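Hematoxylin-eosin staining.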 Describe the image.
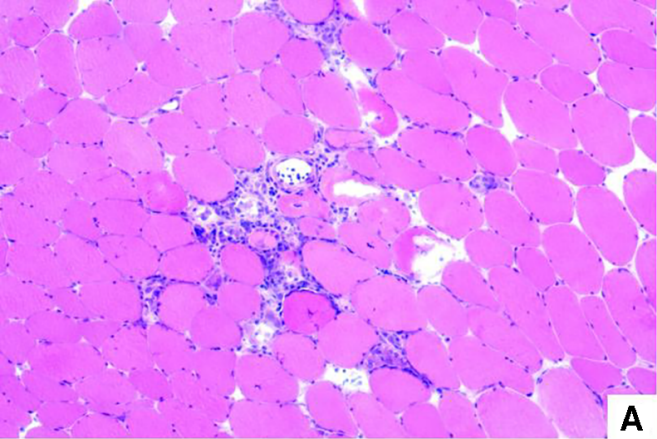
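Cross-sectioned muscle with many polygonal to rounded myocytes stained evenly pink, their small dark nuclei lying at the periphery of the fibres. In the middle of the field a focus of small mononuclear cells with round, dark purple nuclei fills the widened spaces between the fibres, around small vessels.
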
